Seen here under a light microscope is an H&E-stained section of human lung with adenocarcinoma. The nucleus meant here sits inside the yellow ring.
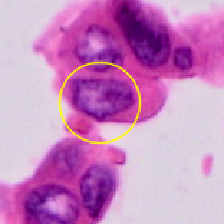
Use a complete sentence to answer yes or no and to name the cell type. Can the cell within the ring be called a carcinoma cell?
Yes, correct on this one: the cell within the ring is a carcinoma cell.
